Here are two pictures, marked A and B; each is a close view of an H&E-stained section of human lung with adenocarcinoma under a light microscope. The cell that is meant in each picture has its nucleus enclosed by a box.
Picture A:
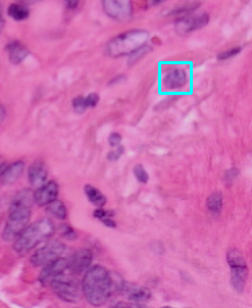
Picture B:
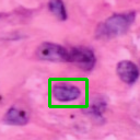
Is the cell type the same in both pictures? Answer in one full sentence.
Yes, they are the same type: both are mast cells.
